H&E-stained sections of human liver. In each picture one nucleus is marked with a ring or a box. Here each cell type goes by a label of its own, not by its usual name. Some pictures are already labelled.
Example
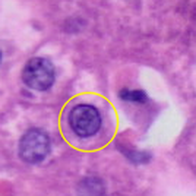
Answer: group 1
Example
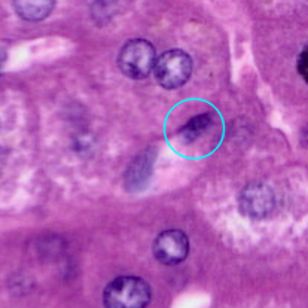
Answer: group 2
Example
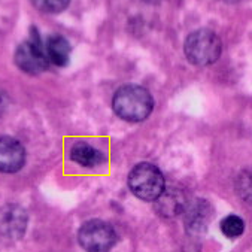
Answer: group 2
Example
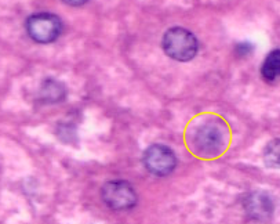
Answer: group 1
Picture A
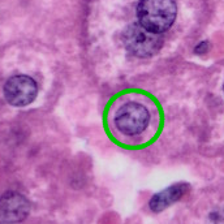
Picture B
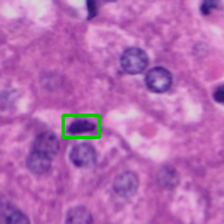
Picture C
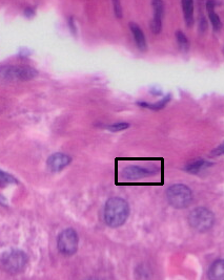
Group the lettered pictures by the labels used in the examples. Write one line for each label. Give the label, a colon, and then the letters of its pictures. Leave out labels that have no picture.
group 1: A
group 2: B, C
